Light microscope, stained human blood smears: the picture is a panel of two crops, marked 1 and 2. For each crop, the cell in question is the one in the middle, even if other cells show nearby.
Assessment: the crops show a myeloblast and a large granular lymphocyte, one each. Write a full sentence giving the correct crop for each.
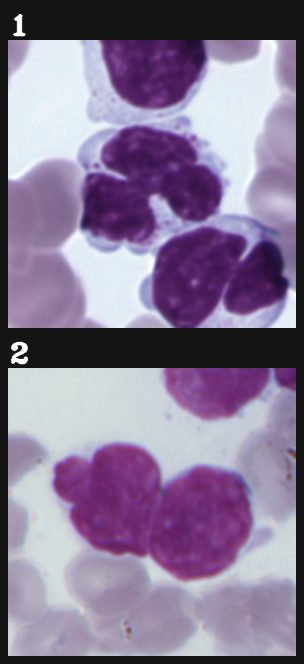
Crop 1 has a large granular lymphocyte at its centre, and crop 2 has a myeloblast.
